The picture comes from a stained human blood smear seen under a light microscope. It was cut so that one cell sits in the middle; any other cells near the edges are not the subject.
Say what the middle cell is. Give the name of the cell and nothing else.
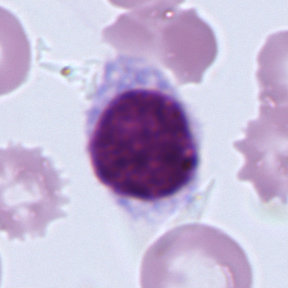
hairy cell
